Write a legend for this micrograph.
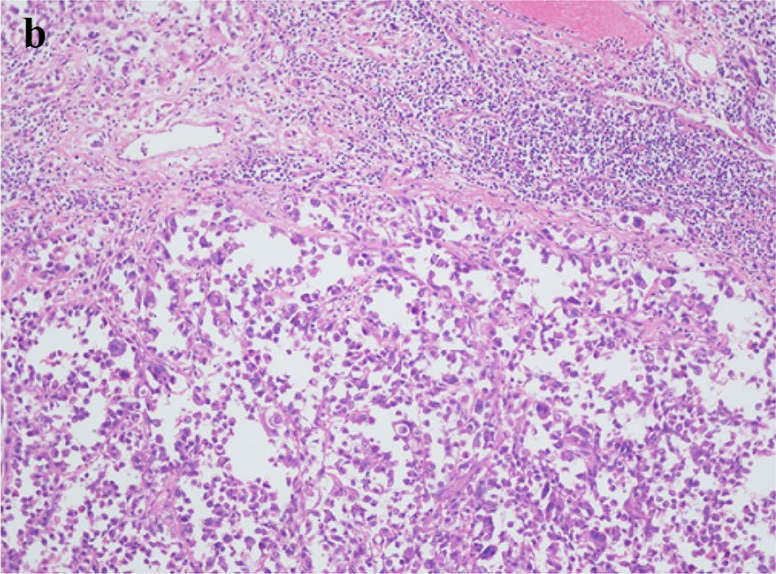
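This is tumor tissue in which sheets of large, loosely cohesive cells with pink cytoplasm and large purple nuclei fill the lower part, separated by clear spaces and thin fibrous strands. Above them a band of pink fibrous stroma with a small vessel holds a dense infiltrate of small round lymphocytes with dark, compact nuclei and little cytoplasm.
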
